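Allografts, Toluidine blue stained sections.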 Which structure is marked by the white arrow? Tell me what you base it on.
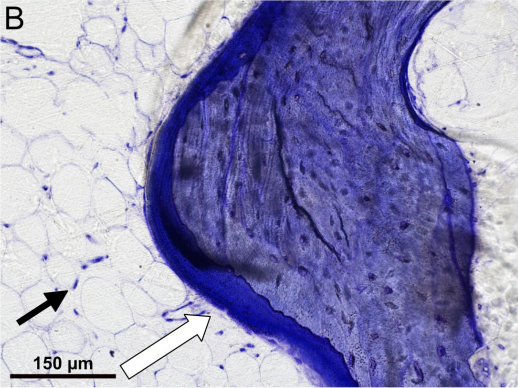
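A dark blue, more intensely stained band lines the surface of the bone piece. The band runs along the edge facing the fat-filled space. On this evidence: deposited matrix.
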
